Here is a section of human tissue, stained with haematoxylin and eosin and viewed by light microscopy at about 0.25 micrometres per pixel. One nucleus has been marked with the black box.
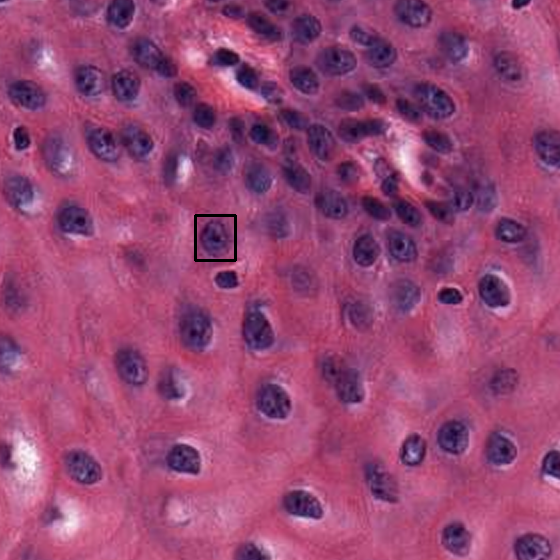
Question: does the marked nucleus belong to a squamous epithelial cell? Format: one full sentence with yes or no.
Yes, a squamous epithelial cell is the owner of the marked nucleus.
